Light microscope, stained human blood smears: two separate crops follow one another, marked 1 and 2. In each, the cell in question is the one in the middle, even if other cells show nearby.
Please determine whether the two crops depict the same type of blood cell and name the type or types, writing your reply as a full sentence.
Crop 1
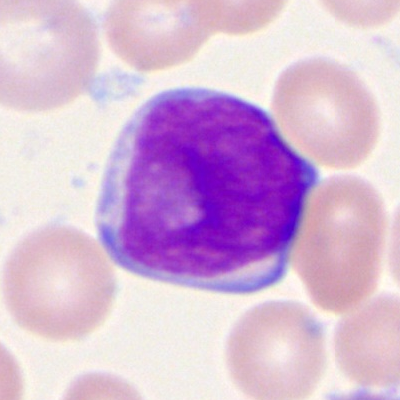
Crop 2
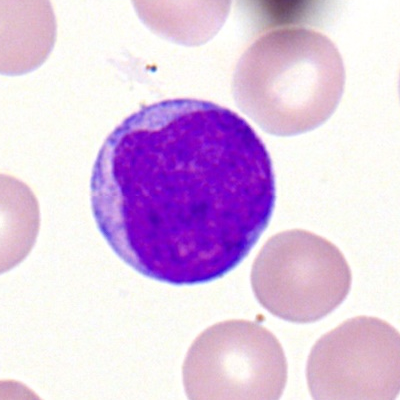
Yes, the cells centred in the two crops are both myeloblasts.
